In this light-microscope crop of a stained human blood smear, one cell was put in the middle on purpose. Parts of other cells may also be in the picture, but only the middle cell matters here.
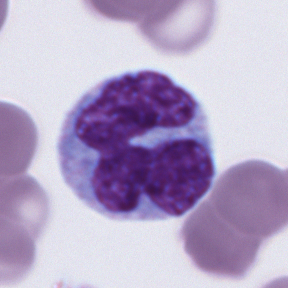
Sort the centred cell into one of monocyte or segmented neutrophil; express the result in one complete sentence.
The cell at the heart of this crop is a monocyte.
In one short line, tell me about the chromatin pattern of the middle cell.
Its nuclear chromatin is gathered into coarse clumps.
